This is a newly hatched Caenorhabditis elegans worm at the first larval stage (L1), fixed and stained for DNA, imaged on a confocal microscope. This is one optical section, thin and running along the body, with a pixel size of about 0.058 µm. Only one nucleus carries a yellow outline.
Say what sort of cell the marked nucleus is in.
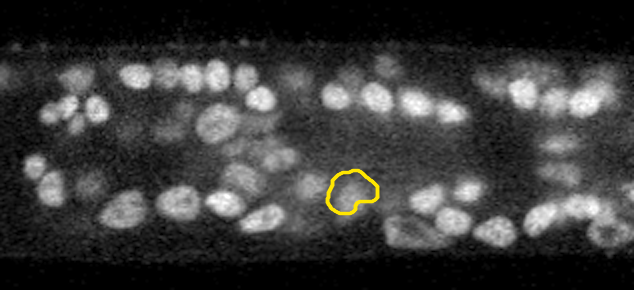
neuron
